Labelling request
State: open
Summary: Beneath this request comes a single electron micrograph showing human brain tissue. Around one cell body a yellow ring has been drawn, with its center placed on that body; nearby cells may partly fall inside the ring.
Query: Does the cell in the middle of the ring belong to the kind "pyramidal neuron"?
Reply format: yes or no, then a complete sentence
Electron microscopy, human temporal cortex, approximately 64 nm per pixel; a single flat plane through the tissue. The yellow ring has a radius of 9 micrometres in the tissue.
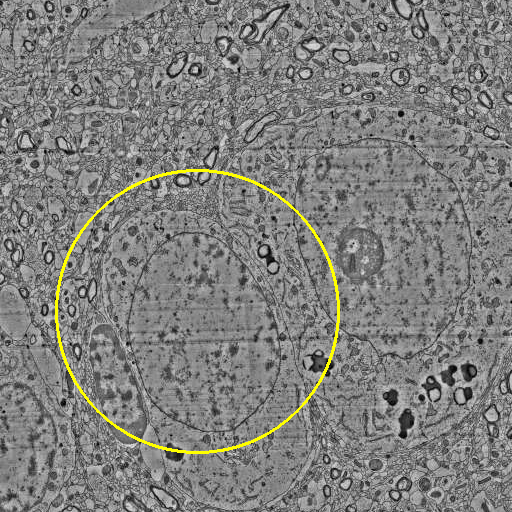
Yes, the cell sitting at the center of the ring in this picture is of that kind.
